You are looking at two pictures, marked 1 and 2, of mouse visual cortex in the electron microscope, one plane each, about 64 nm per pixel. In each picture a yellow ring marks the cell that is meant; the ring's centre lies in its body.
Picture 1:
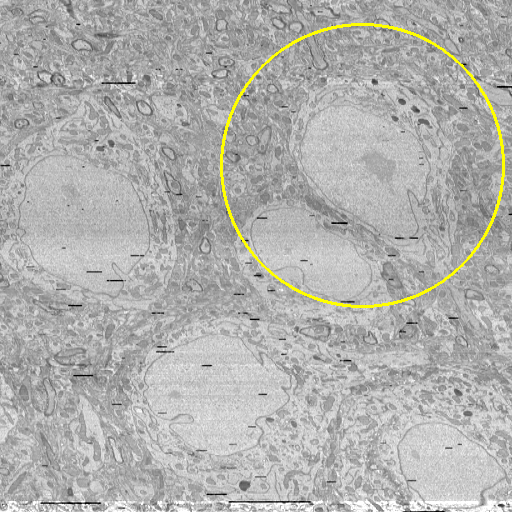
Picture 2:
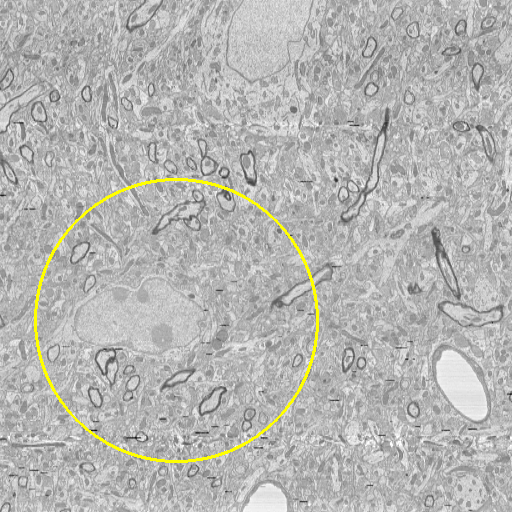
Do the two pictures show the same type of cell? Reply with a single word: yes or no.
no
